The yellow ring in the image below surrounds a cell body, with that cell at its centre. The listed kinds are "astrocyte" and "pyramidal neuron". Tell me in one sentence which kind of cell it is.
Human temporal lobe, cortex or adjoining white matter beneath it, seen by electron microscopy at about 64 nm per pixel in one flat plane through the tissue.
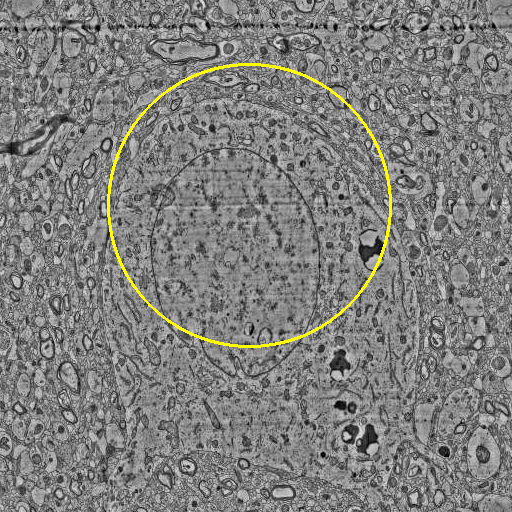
The centre of the ring holds a pyramidal neuron.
